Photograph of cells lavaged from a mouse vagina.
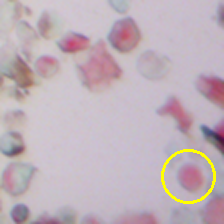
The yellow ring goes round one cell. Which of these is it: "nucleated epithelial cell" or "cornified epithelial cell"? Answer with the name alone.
nucleated epithelial cell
